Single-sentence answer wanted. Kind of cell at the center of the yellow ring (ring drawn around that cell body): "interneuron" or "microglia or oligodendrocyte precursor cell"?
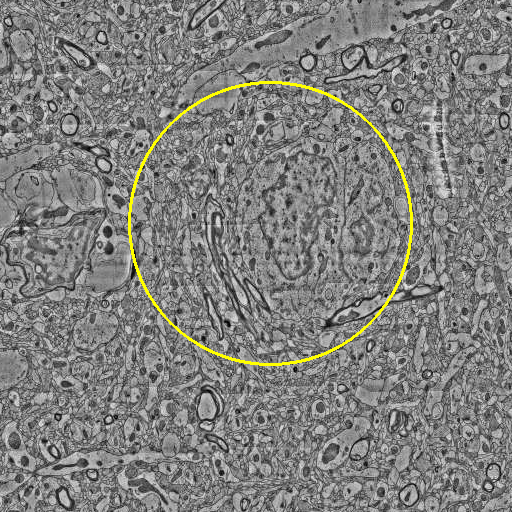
The cell centered in the ring is an interneuron.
